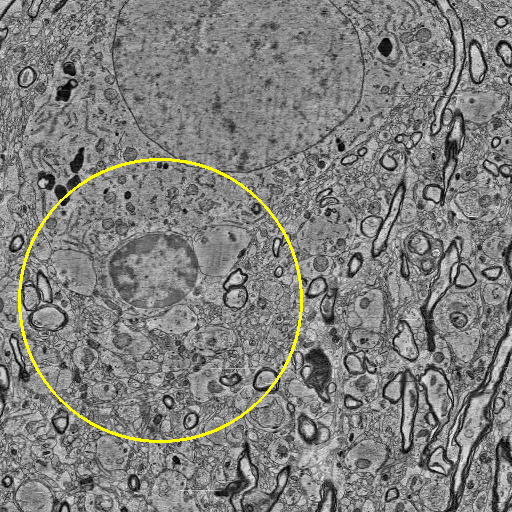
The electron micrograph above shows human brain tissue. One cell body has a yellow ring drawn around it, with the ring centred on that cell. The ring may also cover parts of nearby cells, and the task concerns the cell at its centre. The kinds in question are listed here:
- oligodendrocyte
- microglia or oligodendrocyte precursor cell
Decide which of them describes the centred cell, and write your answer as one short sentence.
The centred cell is a microglial cell or oligodendrocyte precursor cell.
